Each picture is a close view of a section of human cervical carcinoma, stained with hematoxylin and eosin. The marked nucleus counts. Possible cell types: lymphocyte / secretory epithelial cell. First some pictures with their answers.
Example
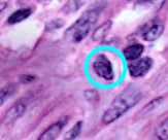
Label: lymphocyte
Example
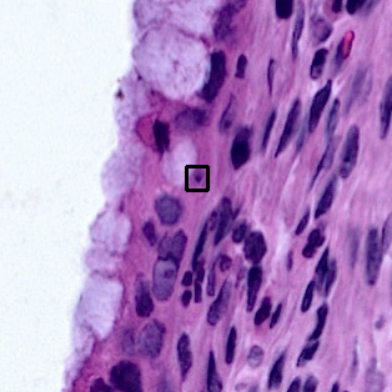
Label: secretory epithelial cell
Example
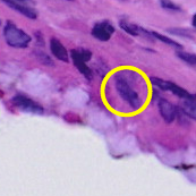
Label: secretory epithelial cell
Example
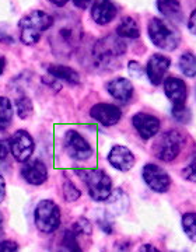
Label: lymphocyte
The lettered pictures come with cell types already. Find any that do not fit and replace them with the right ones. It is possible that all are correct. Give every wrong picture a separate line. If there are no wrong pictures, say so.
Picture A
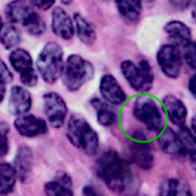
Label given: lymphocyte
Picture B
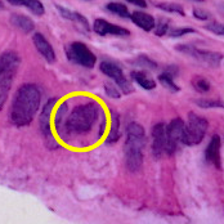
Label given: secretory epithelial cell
All labels are correct.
